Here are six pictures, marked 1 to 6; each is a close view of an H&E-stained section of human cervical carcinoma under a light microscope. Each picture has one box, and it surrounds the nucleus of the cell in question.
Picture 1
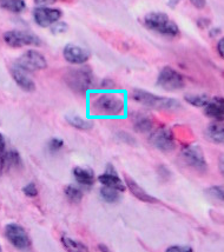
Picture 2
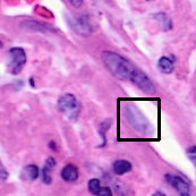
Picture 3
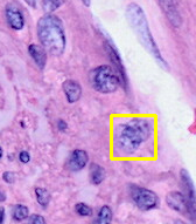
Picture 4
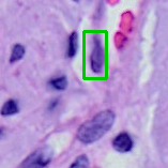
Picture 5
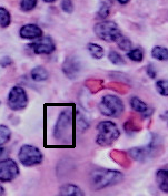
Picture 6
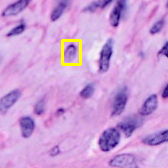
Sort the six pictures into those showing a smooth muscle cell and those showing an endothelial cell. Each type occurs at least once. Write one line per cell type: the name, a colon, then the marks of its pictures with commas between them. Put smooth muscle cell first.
smooth muscle cell: 3, 6
endothelial cell: 1, 2, 4, 5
